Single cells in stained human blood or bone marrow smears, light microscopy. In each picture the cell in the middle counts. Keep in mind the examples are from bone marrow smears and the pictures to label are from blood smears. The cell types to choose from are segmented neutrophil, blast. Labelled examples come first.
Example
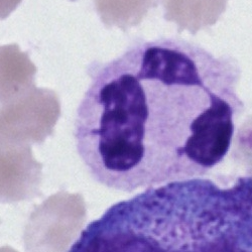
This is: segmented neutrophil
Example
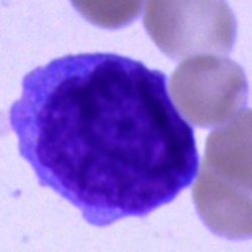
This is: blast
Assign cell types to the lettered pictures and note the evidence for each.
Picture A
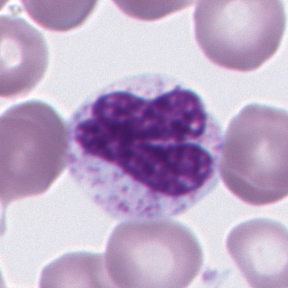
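segmented neutrophil. Evidence: The nucleus is folded into several broad lobes joined by thick connections.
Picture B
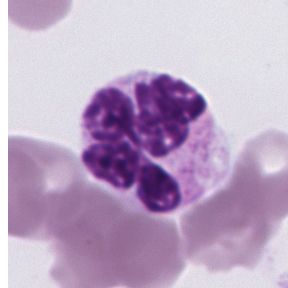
segmented neutrophil. Evidence: The nucleus is split into four separate lobes.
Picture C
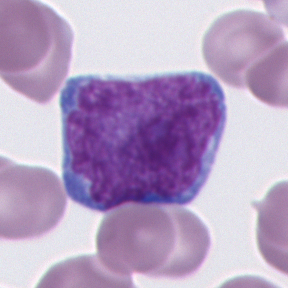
blast. Evidence: The cytoplasm forms a narrow blue rim that is widest at the lower-left corner.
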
